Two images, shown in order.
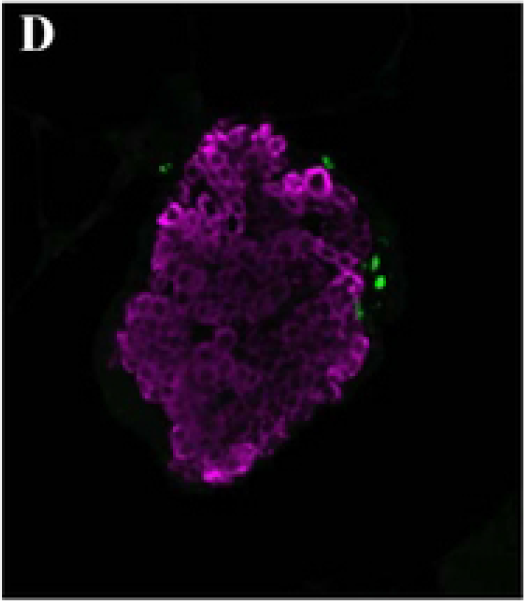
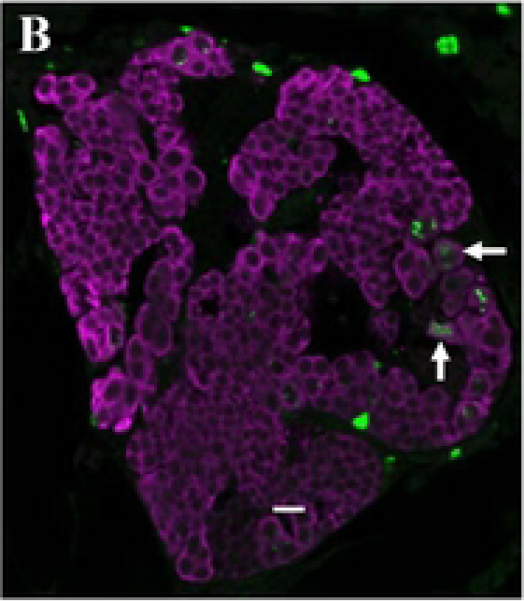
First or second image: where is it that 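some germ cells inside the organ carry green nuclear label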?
The second image.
